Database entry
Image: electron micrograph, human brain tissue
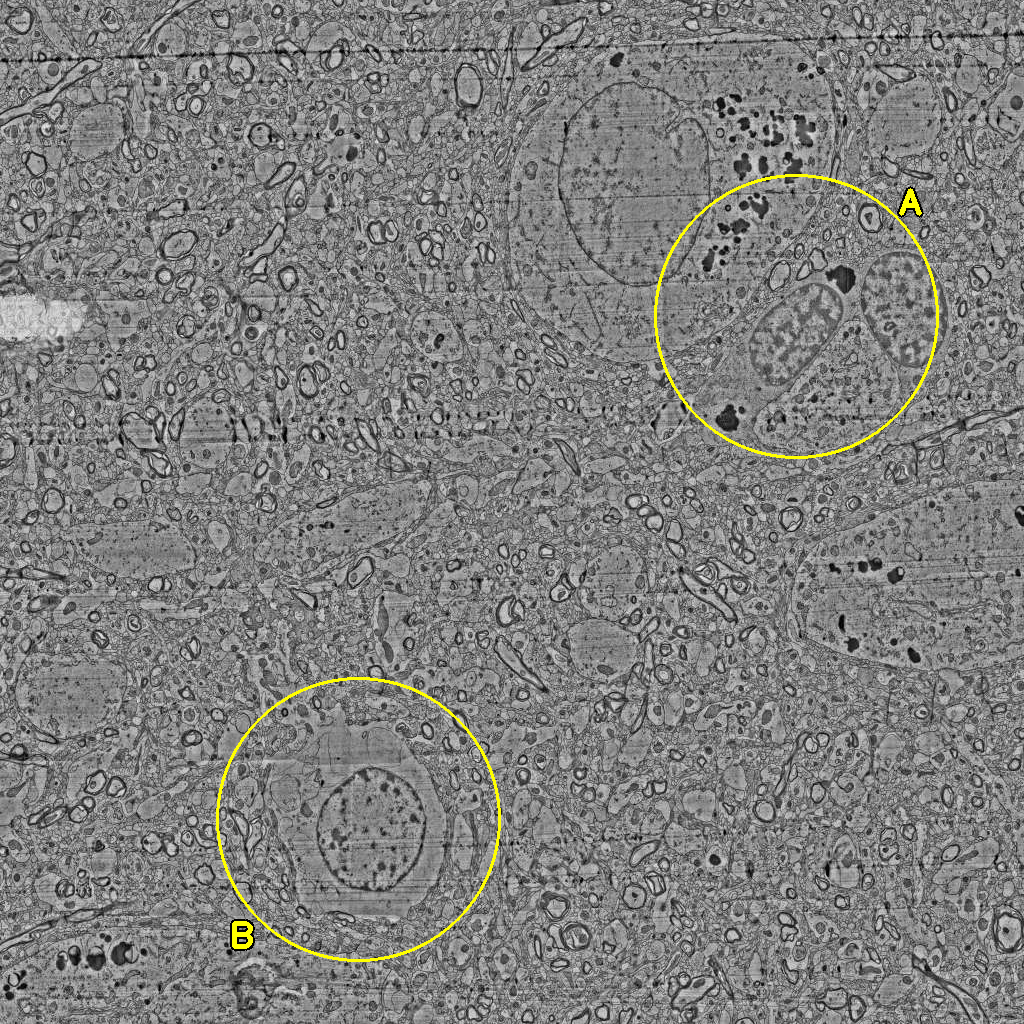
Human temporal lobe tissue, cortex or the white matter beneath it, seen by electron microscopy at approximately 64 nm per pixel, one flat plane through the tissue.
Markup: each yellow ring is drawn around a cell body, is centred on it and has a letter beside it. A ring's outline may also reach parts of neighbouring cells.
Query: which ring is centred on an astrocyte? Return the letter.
B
